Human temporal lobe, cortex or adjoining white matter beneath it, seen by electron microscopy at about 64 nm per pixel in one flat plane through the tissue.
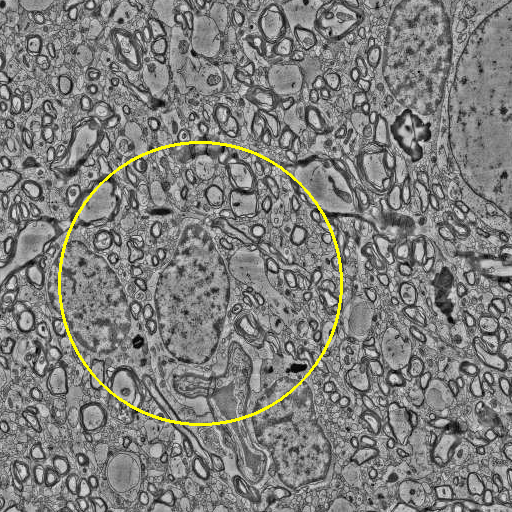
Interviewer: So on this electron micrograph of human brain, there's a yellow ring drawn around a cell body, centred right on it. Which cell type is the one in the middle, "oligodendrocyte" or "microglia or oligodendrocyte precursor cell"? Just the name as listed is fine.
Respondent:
microglia or oligodendrocyte precursor cell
